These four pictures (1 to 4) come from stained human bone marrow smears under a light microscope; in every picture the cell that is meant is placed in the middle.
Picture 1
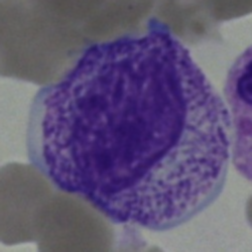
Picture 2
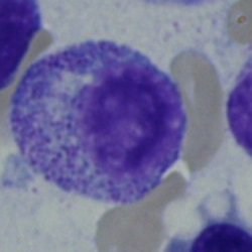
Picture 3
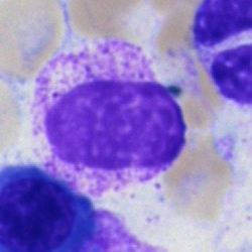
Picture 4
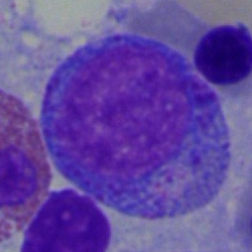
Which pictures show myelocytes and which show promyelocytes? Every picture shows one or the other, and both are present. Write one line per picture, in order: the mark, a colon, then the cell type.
1: myelocyte
2: myelocyte
3: myelocyte
4: promyelocyte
